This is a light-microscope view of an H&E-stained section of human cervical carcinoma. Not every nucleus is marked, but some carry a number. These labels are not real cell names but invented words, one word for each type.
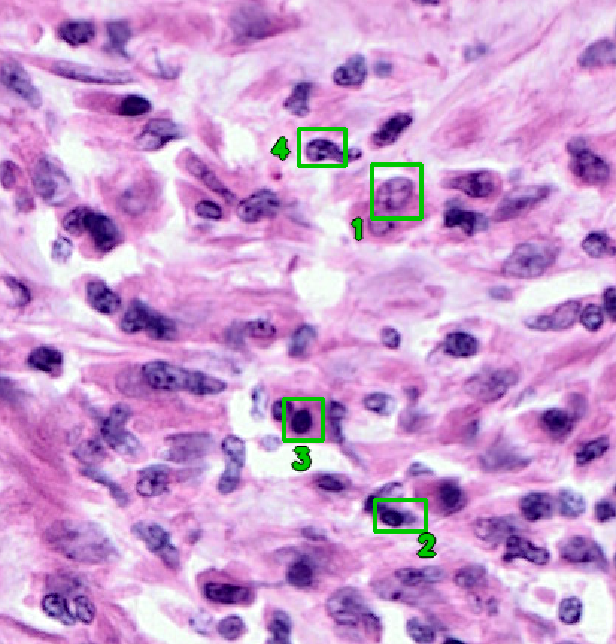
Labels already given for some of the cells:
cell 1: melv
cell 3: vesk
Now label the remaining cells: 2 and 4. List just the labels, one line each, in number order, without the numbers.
vesk
vesk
